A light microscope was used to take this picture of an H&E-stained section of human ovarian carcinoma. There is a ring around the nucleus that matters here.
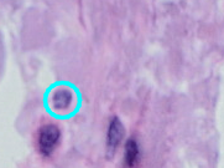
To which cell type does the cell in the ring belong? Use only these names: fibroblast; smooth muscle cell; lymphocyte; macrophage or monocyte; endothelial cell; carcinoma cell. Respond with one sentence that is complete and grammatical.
It is a lymphocyte that the cell in the ring represents.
